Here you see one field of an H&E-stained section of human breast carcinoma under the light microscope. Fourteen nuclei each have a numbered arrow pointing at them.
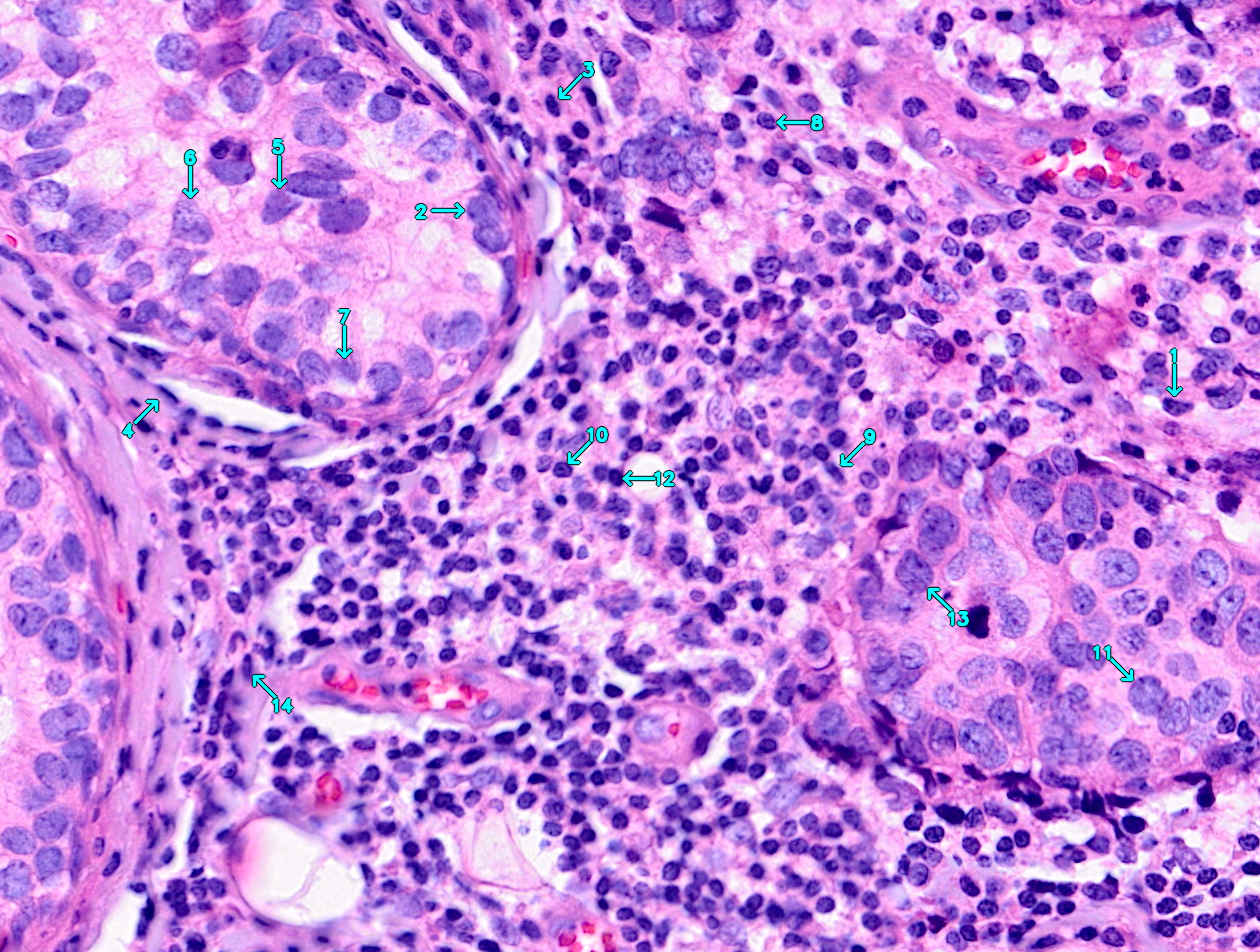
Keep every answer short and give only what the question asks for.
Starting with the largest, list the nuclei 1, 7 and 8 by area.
7, 1, 8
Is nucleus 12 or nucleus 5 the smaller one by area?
12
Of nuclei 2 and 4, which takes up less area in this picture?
4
